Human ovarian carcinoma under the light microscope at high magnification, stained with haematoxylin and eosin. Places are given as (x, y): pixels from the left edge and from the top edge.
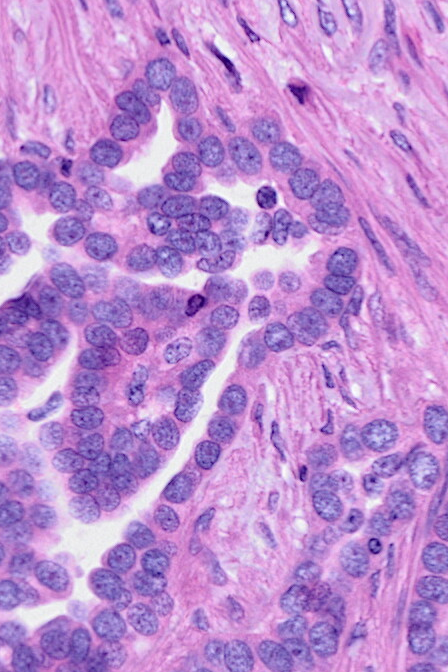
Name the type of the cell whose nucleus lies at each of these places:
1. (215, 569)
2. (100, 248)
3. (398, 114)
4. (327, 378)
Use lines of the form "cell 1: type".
cell 1: fibroblast
cell 2: carcinoma cell
cell 3: fibroblast
cell 4: fibroblast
